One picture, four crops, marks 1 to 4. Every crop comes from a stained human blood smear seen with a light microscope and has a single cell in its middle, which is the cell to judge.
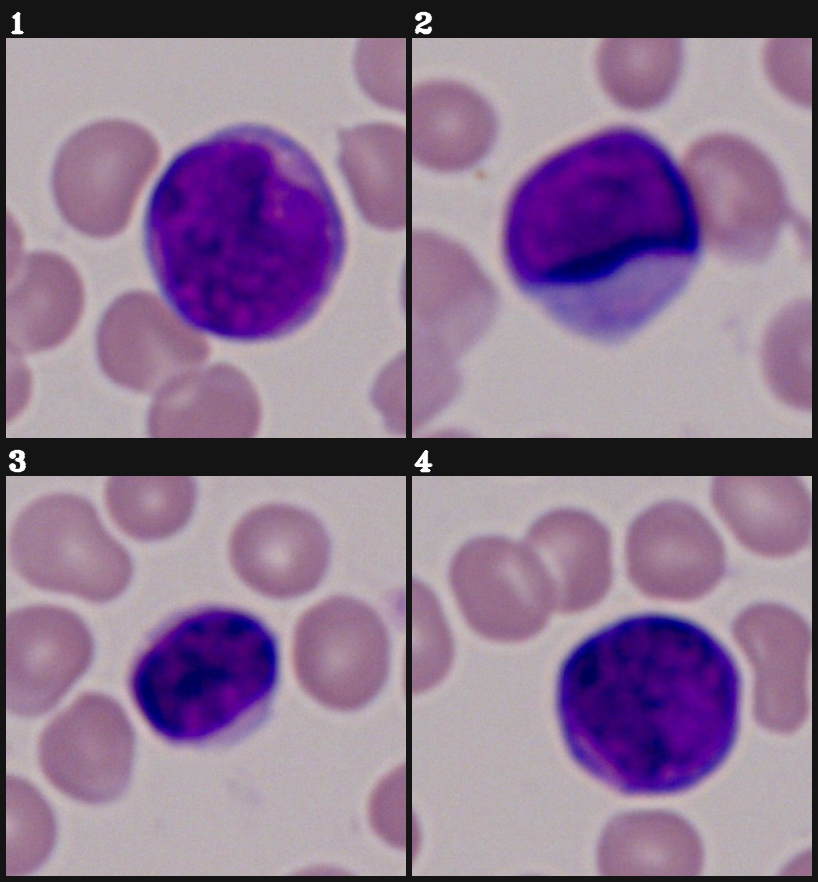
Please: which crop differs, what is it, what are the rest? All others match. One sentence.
Crop 3 differs: it is a lymphocyte, and all the other crops show myeloblasts.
